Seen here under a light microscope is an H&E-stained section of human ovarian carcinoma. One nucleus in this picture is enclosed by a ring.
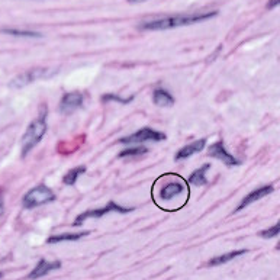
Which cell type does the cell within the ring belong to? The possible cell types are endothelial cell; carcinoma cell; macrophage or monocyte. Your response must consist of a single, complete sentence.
As classified here, the cell within the ring is a macrophage or monocyte.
